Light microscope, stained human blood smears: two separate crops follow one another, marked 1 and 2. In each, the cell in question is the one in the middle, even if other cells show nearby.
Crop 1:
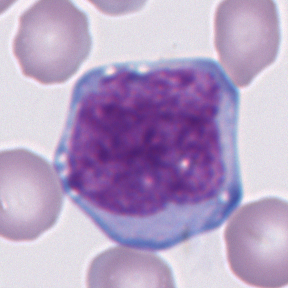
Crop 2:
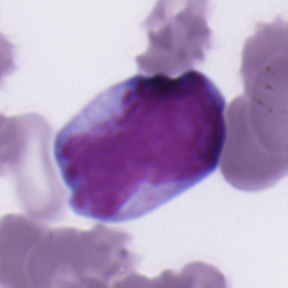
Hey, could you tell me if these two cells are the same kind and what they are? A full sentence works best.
Yes, at the centre of both crops are blasts.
